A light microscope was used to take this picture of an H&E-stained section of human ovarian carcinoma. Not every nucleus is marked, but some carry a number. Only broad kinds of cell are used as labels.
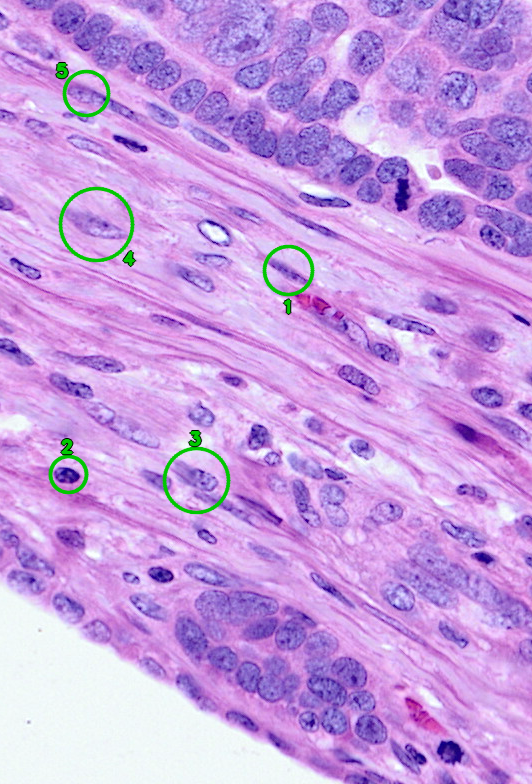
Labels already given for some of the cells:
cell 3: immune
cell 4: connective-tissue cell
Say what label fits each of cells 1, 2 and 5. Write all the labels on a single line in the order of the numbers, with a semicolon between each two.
connective-tissue cell; immune; connective-tissue cell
